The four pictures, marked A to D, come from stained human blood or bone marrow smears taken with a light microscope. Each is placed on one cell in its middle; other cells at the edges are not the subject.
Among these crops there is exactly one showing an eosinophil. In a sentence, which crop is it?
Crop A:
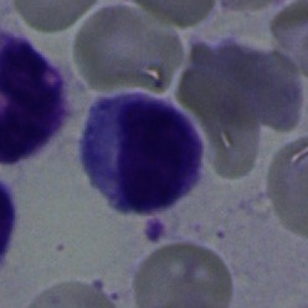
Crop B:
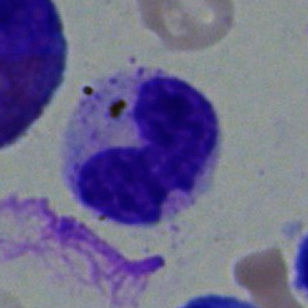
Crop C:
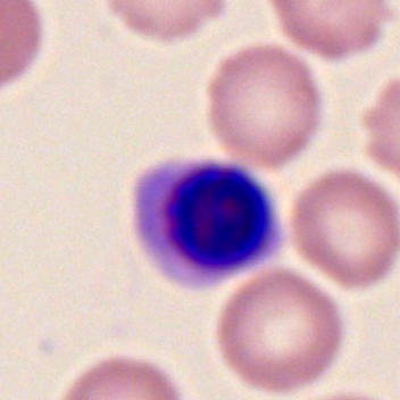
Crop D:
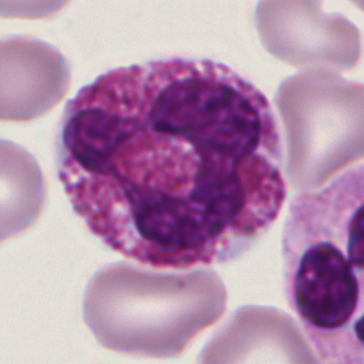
As for which crop shows an eosinophil, it is crop D.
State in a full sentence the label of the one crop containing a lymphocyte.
The crop marked A is the one in which a lymphocyte is shown.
